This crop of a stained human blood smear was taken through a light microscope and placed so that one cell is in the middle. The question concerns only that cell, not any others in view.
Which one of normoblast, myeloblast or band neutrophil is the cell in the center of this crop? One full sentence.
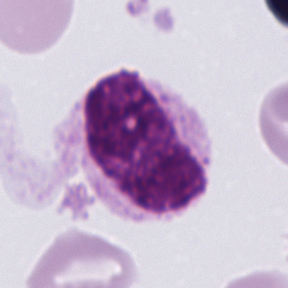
The crop centres on a single cell, and that cell is a band neutrophil.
